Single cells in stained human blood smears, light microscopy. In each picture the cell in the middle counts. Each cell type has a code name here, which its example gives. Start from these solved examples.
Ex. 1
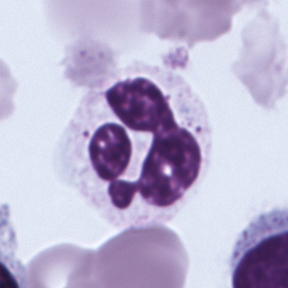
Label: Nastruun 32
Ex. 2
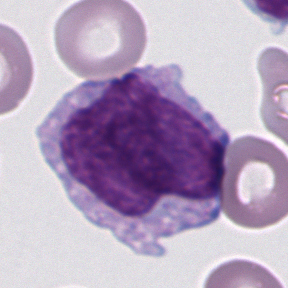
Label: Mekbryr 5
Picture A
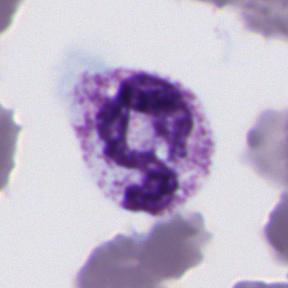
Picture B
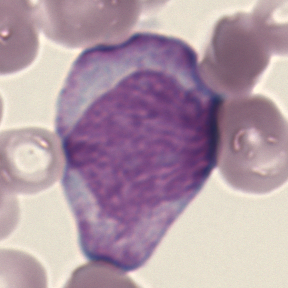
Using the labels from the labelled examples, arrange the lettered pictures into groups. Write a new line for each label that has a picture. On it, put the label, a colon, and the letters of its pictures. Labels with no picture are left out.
Nastruun 32: A
Mekbryr 5: B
